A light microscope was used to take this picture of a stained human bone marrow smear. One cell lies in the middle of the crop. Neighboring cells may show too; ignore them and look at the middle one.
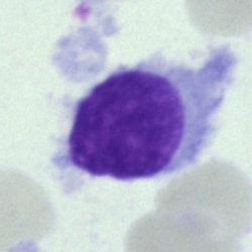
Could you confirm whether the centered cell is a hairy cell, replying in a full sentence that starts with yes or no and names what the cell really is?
Yes, the cell in the center of this crop is a hairy cell.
